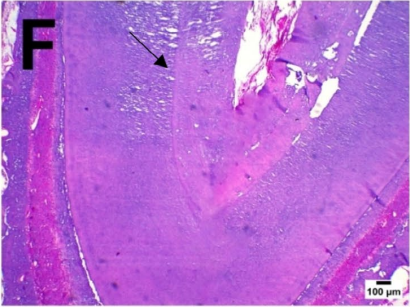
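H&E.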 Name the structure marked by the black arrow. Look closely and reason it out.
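Demarcation line. The arrow points at a faint line within the purple hard tissue beside the canal. The line separates hard tissue of slightly different texture.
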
